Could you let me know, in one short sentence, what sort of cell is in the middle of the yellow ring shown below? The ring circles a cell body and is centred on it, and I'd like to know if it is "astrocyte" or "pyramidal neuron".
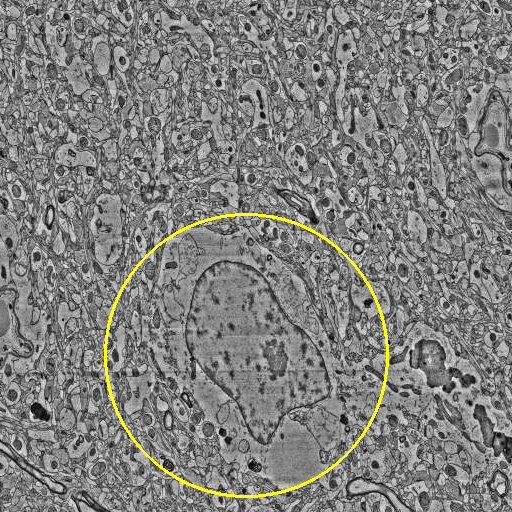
The ring circles the cell body of an astrocyte.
